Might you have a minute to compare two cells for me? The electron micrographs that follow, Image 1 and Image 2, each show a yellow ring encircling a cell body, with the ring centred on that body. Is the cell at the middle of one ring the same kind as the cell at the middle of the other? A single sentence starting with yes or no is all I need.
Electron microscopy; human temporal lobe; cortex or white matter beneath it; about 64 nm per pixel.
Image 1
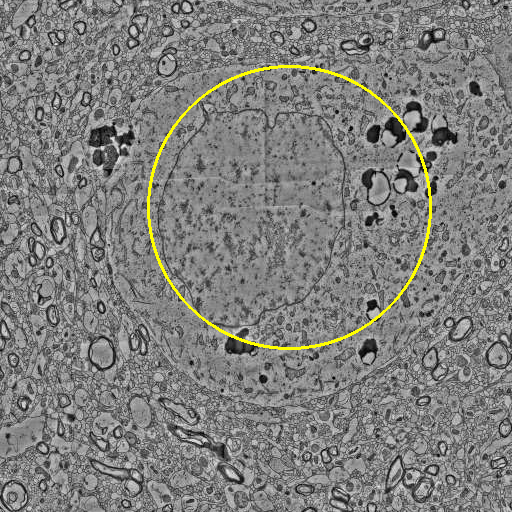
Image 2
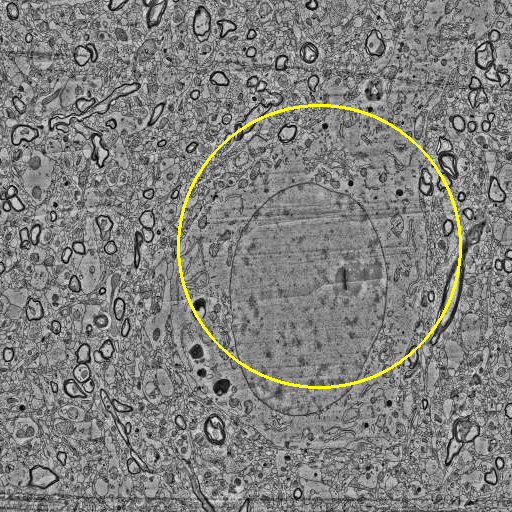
Yes, the cells in the middle of the two rings are of one shared kind.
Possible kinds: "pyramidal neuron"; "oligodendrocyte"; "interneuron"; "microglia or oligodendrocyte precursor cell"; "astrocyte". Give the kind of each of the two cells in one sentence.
Each of the two rings surrounds a pyramidal neuron.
